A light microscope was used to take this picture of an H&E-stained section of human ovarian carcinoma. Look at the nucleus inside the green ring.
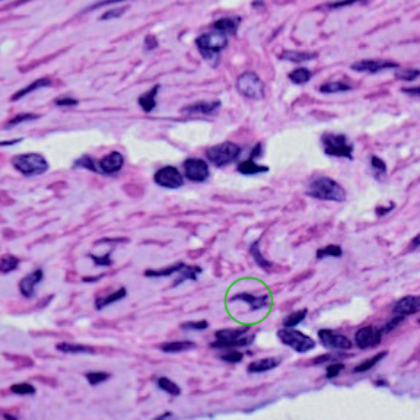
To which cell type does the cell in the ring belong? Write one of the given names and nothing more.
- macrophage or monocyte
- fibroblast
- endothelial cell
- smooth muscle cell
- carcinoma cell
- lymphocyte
fibroblast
